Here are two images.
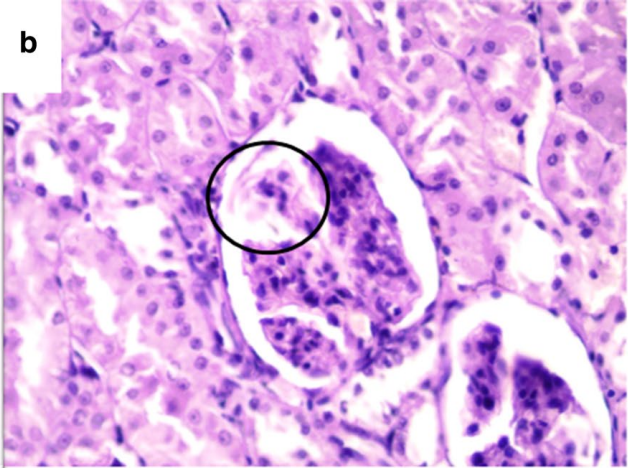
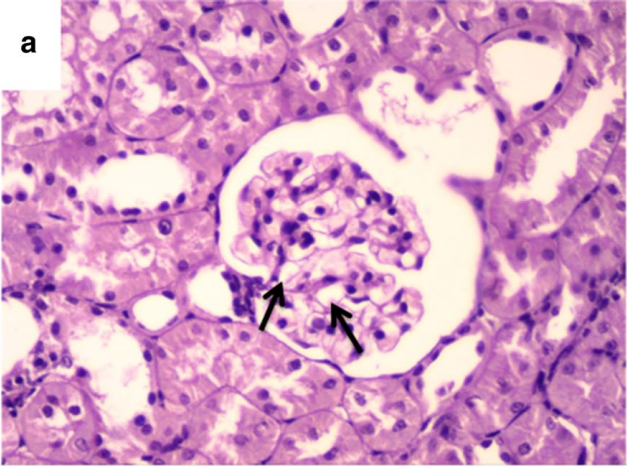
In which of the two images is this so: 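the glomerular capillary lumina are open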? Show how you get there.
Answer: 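First image: the glomerular tuft is dense with nuclei and open loops are hard to find. Second image: the tuft shows many clear, open capillary loops with thin walls. That points to this answer: the second image.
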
